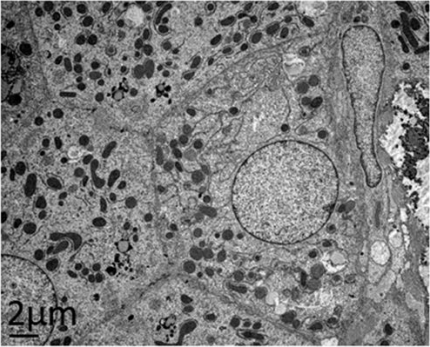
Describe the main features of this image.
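This electron micrograph of liver tissue shows hepatocytes, large polygonal cells closely abutting one another. Their cytoplasm is crowded with numerous dense, round to elongated mitochondria, together with scattered small dark granules and pale vesicles. One cell shows a large round nucleus with finely dispersed chromatin and a clear nuclear envelope. Next to it a narrow, elongated nucleus lies in a slender cell squeezed between the larger cells. Straight cell borders separate neighbouring cells.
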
